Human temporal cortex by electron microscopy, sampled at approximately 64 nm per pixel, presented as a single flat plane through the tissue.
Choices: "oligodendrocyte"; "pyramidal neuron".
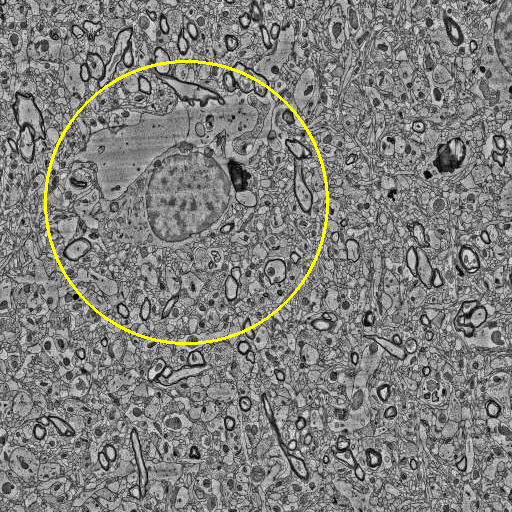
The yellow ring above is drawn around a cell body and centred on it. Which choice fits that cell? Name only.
oligodendrocyte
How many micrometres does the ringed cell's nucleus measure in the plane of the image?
Approximately 6 by 5 micrometers in this plane.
